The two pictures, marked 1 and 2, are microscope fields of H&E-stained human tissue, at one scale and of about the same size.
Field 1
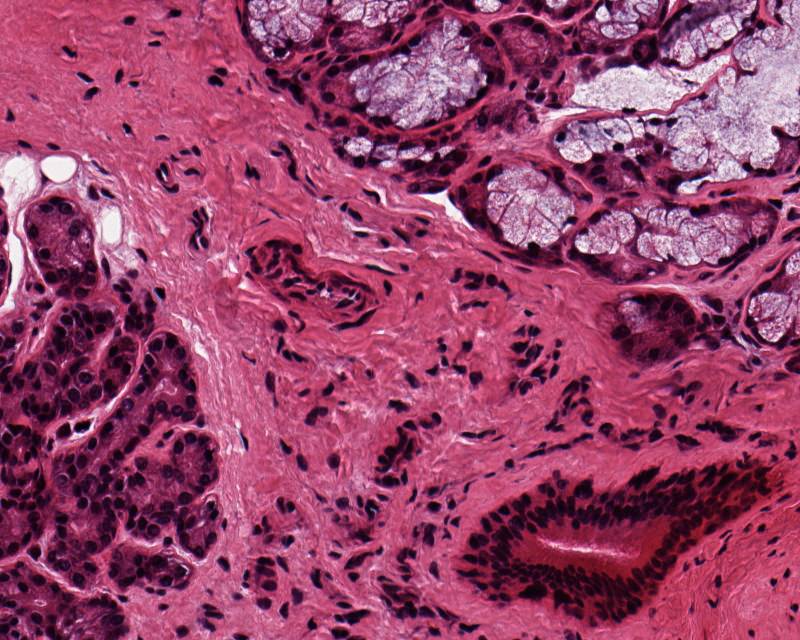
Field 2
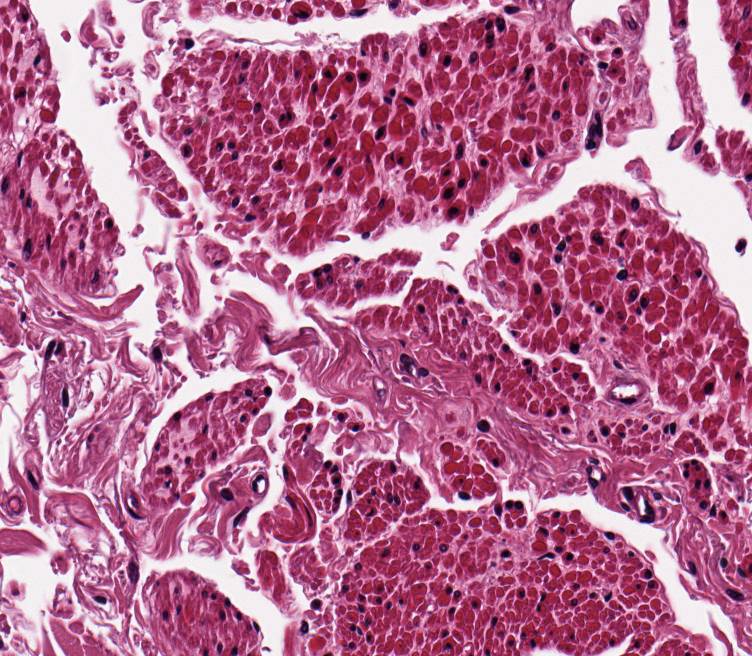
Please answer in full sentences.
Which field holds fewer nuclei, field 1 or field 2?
Fewer nuclei lie in field 2 than in field 1.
